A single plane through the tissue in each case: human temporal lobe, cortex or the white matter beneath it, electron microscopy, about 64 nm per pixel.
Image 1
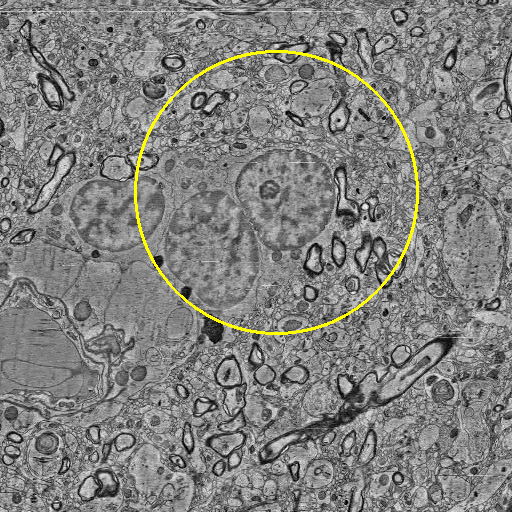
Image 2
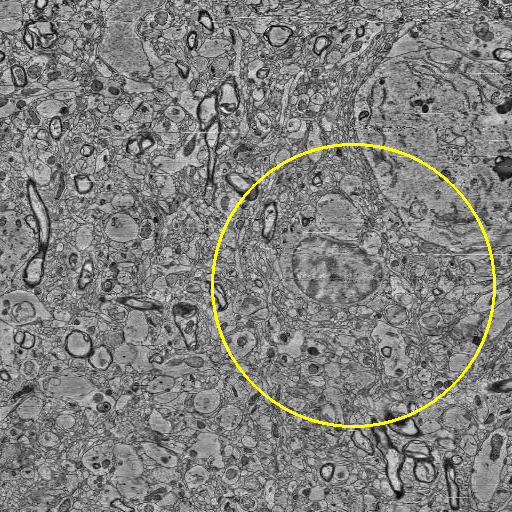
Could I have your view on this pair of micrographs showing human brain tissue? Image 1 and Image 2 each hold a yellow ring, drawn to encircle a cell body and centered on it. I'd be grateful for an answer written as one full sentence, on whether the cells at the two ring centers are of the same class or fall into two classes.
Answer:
The cells at the centers of the two rings are of the same class.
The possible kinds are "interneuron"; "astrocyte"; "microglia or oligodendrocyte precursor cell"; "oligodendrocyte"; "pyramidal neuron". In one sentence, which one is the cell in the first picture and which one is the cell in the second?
Each cell at the centre of a ring is an oligodendrocyte.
